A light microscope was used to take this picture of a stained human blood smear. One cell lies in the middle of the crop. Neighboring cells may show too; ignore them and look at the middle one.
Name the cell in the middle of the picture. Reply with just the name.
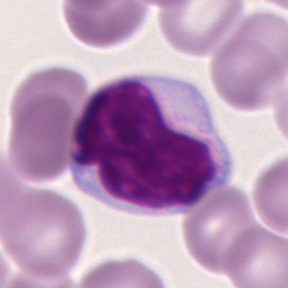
large granular lymphocyte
